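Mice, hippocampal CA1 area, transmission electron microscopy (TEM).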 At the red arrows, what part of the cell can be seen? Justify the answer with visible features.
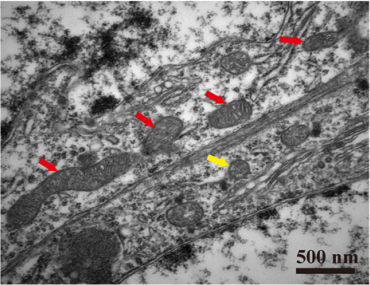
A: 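Mitochondria. Elongated membrane-bound organelles with inner folds lie where the red arrows point. They lie alongside long parallel membrane profiles.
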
